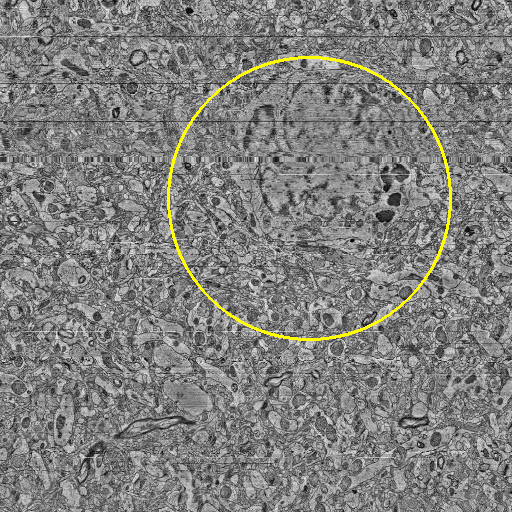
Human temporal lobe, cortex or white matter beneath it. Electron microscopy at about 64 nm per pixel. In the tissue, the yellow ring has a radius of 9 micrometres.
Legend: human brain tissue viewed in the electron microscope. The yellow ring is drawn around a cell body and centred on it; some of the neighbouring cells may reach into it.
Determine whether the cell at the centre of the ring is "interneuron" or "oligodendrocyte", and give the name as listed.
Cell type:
interneuron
